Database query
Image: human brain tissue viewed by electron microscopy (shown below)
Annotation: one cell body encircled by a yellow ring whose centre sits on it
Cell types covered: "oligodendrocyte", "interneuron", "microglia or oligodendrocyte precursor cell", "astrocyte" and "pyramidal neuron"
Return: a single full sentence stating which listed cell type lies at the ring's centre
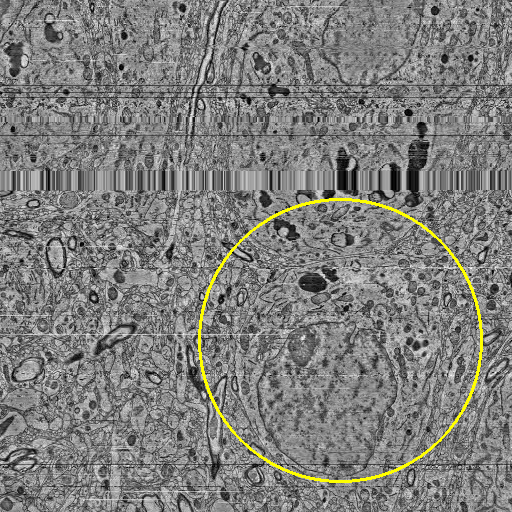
In the image, the cell lying at the ring's centre is an interneuron.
